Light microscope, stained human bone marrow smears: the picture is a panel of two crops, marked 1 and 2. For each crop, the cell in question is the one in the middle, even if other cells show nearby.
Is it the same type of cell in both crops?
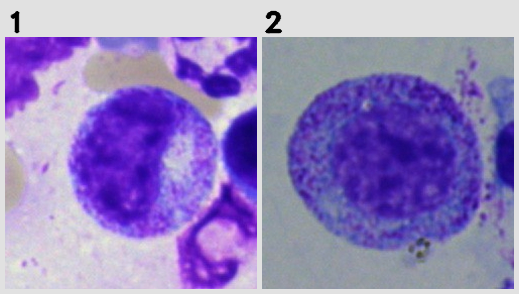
yes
